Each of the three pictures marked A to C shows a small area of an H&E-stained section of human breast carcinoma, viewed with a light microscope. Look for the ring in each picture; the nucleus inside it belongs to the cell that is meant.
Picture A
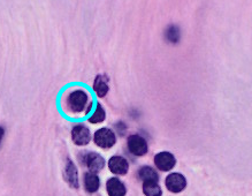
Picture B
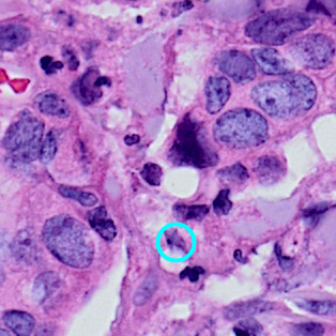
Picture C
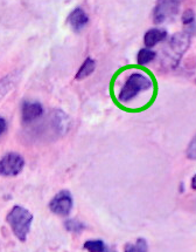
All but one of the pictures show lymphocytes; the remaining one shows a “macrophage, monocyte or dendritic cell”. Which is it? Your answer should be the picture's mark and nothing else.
B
